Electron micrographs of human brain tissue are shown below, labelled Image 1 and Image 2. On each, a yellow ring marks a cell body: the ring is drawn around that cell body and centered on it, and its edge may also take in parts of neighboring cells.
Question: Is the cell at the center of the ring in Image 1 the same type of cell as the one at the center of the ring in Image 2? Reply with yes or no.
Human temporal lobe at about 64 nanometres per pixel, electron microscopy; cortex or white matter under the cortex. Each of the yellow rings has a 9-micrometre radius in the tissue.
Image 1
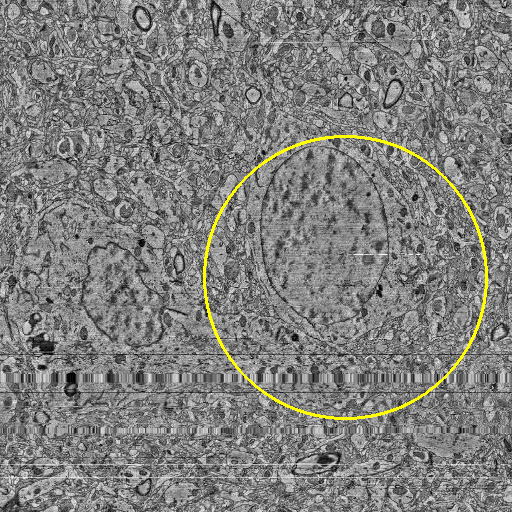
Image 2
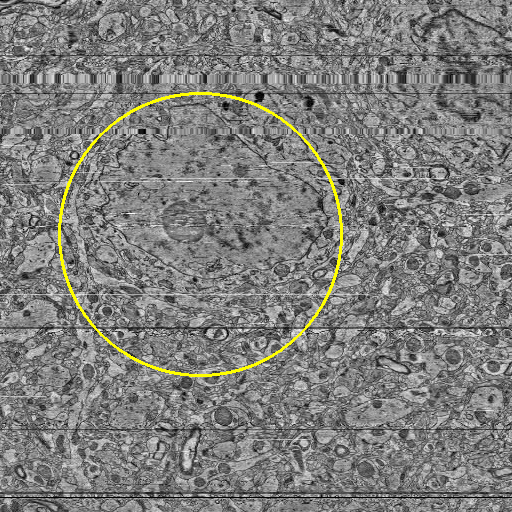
yes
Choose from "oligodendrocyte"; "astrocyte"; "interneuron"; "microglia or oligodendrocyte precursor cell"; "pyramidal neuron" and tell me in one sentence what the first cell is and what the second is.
In both pictures the ring is centred on a pyramidal neuron.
